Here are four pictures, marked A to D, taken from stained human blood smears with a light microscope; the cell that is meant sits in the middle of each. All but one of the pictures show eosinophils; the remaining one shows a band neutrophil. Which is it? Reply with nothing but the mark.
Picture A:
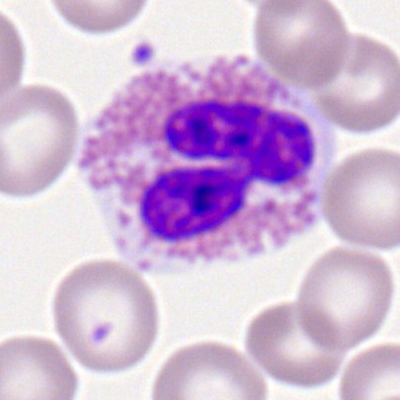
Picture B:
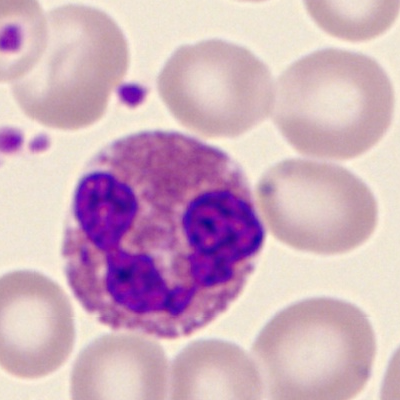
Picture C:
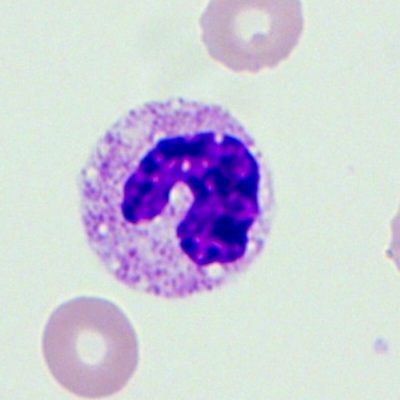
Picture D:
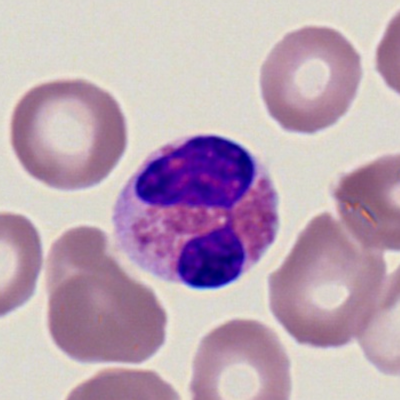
C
